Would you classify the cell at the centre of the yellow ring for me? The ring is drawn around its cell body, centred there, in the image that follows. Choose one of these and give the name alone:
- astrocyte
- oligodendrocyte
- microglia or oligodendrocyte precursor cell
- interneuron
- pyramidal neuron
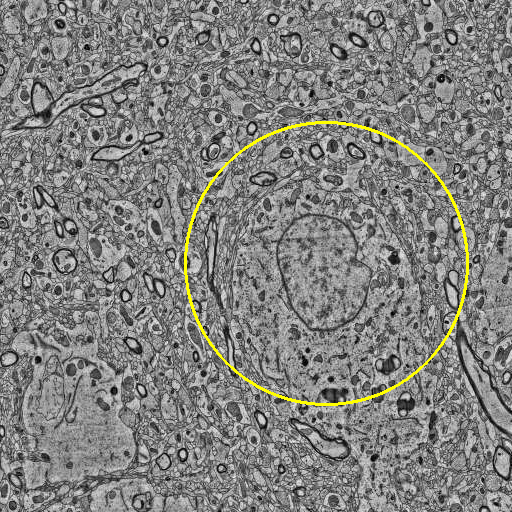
pyramidal neuron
